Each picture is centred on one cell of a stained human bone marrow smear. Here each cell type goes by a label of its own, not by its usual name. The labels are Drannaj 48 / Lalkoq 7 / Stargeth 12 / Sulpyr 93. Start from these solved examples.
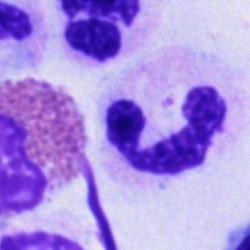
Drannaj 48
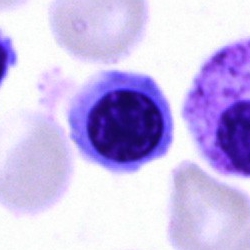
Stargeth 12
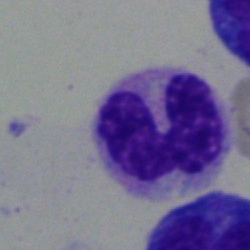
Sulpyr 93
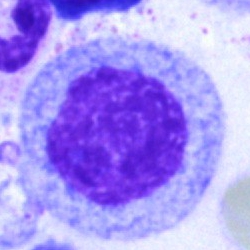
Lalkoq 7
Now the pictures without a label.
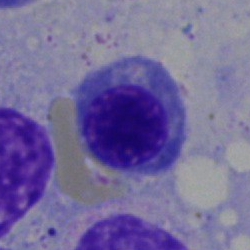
Stargeth 12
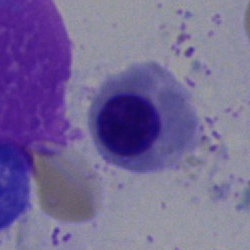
Stargeth 12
